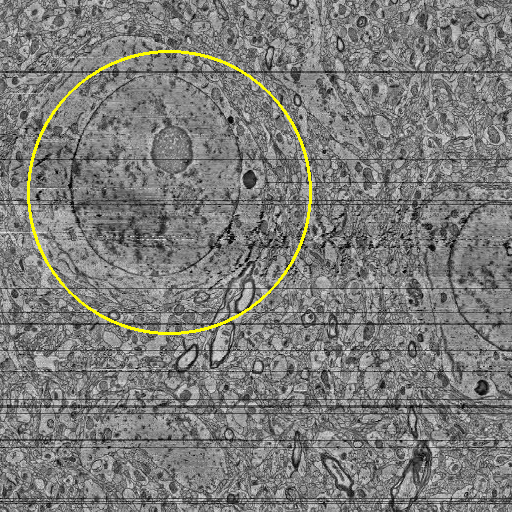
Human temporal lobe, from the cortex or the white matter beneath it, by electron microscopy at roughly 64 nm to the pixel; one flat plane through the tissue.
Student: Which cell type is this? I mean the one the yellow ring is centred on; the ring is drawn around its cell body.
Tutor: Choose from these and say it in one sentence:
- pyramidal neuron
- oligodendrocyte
The cell the ring is centred on is a pyramidal neuron.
